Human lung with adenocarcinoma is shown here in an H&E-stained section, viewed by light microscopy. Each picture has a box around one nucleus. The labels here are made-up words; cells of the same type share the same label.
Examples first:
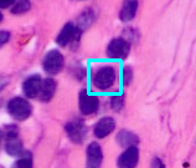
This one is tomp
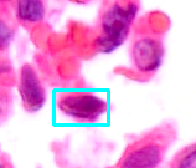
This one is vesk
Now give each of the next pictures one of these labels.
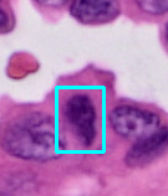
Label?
vesk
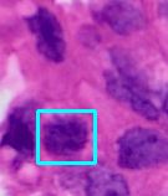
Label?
vesk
